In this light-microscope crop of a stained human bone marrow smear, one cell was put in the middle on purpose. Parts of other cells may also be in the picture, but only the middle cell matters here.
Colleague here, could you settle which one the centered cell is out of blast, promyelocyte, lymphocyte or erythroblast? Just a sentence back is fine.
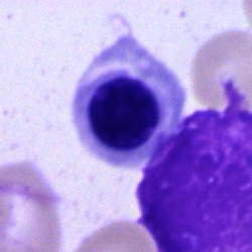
What the crop centres on is an erythroblast.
